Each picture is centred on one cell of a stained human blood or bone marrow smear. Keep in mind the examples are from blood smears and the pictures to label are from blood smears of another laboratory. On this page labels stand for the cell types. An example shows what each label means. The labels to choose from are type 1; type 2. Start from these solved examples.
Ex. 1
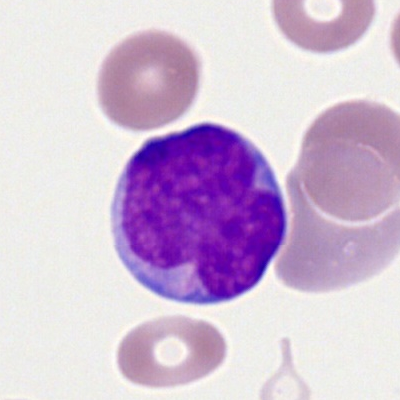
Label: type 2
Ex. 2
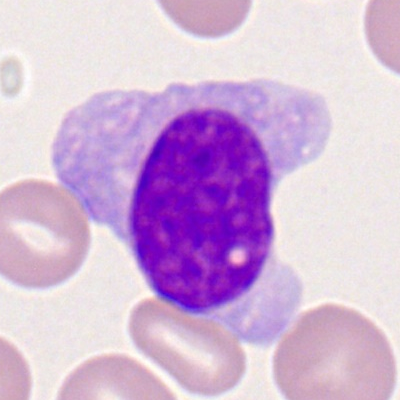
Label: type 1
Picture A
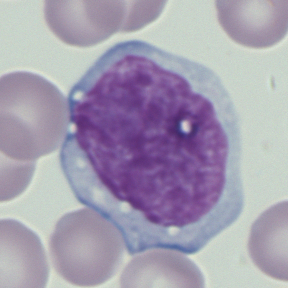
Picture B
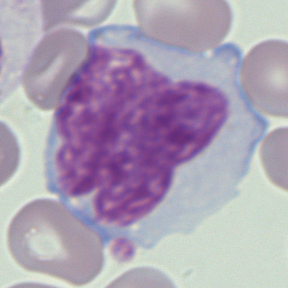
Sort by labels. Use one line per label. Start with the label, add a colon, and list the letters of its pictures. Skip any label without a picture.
type 2: A, B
